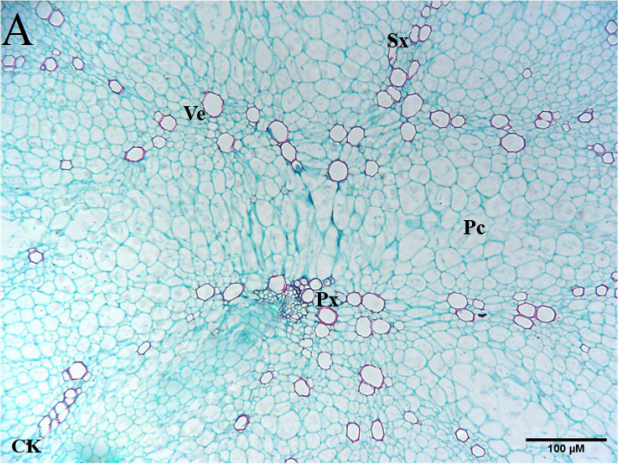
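The central part of a root cross-section shows xylem vessels scattered among abundant thin-walled parenchymal cells. The vessels are rounded to polygonal, with walls rimmed in red to magenta, and range from small to fairly large in diameter. A cluster of small protoxylem elements lies near the centre, while vessels of the secondary xylem are dispersed rather loosely and only partly aligned in radial rows.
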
